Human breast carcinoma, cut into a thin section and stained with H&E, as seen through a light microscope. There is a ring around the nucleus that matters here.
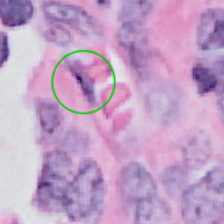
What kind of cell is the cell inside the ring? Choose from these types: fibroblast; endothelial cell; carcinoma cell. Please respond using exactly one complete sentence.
Typologically, the cell inside the ring is an endothelial cell in this section.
